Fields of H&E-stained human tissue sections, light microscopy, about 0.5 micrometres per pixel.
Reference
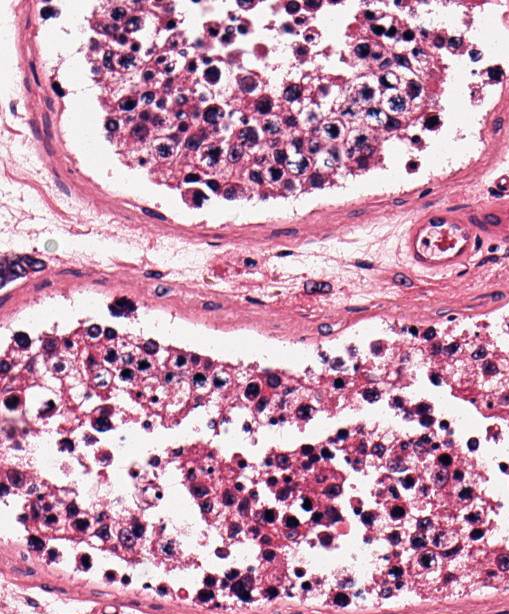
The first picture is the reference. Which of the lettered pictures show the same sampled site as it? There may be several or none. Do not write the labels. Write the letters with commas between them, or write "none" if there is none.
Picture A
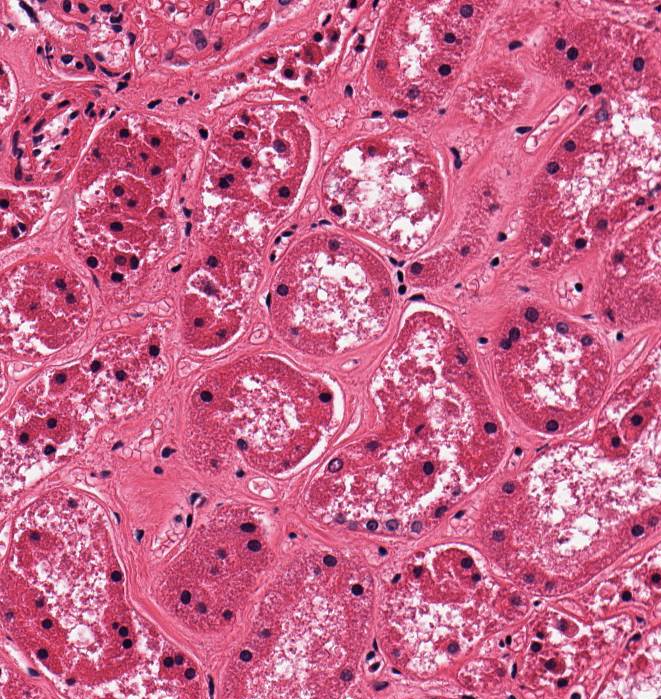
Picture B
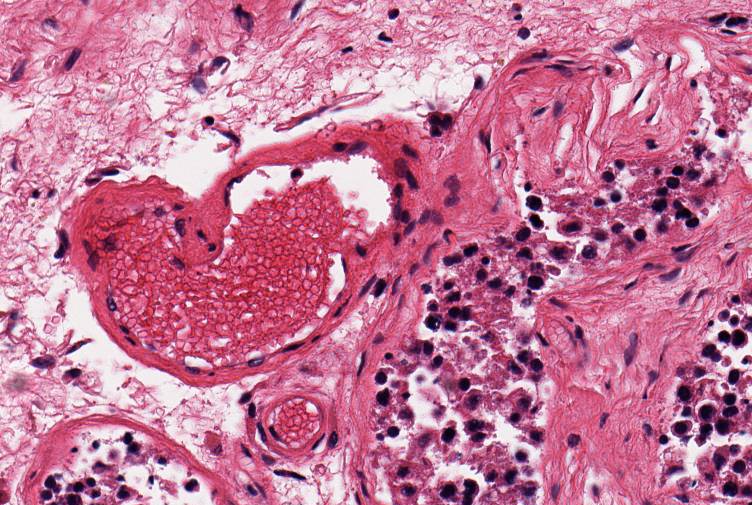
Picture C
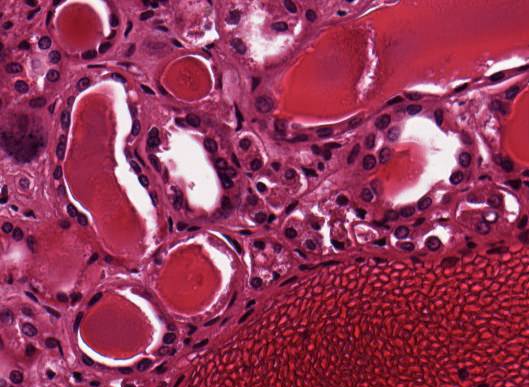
B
